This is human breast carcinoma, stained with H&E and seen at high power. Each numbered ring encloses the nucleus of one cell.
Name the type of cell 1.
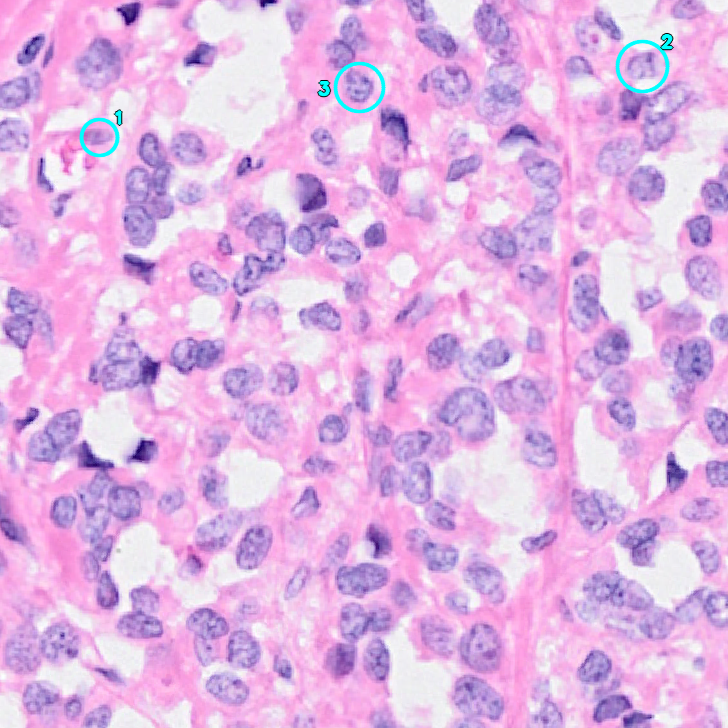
endothelial cell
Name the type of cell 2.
carcinoma cell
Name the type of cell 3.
carcinoma cell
